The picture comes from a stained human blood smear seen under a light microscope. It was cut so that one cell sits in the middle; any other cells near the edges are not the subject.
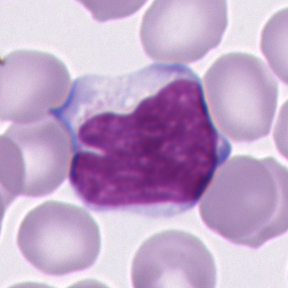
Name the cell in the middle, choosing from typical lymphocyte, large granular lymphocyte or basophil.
large granular lymphocyte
